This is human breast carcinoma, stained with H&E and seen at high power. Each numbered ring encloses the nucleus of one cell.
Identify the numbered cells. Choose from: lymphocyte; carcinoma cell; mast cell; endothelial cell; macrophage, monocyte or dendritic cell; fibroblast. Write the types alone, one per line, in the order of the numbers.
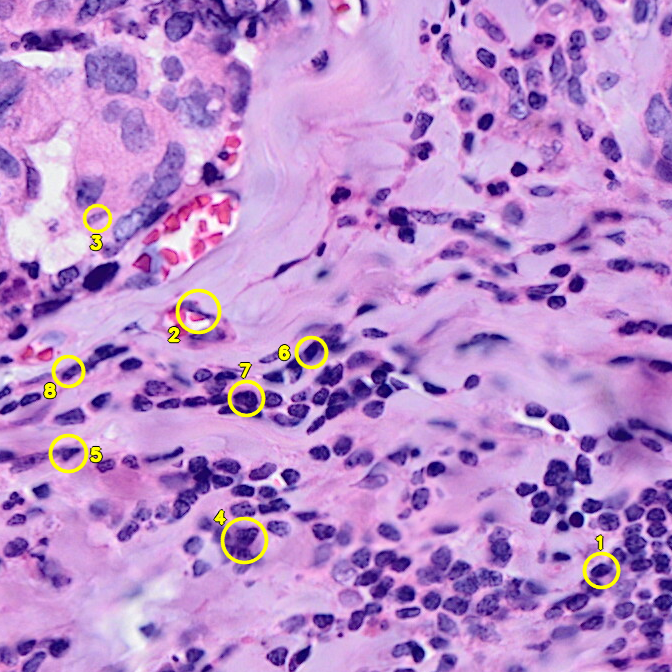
lymphocyte
endothelial cell
carcinoma cell
lymphocyte
lymphocyte
lymphocyte
lymphocyte
endothelial cell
